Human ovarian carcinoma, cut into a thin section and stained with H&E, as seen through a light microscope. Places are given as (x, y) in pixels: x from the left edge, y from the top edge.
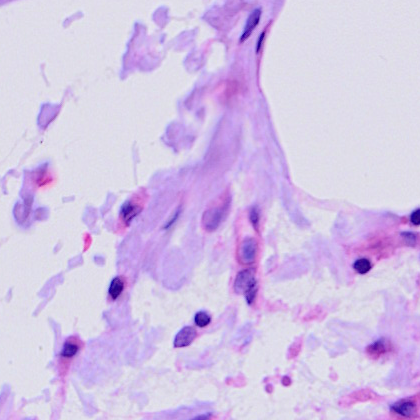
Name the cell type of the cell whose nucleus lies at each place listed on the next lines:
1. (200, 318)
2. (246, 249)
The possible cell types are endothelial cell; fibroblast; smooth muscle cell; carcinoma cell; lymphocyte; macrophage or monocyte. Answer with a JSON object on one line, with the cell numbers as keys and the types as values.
{"1": "lymphocyte", "2": "endothelial cell"}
